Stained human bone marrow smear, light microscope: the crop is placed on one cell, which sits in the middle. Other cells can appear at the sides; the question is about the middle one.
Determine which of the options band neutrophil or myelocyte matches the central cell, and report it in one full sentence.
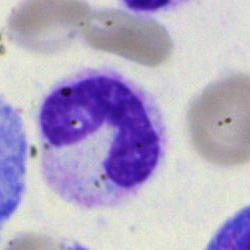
Here the cell in the middle is a band neutrophil.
